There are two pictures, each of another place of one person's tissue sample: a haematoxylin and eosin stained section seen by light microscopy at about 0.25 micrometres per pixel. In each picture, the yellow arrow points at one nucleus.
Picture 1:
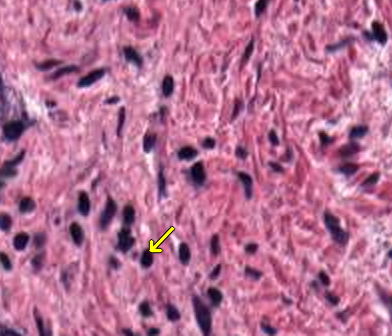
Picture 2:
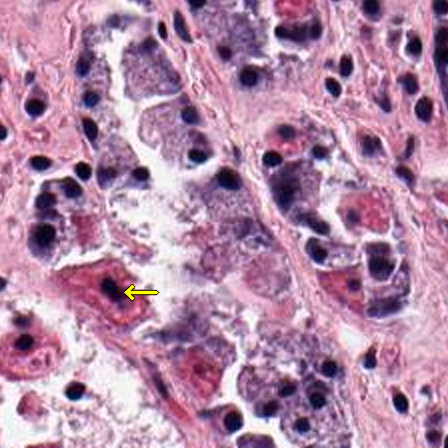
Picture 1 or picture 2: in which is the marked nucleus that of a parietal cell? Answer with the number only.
2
